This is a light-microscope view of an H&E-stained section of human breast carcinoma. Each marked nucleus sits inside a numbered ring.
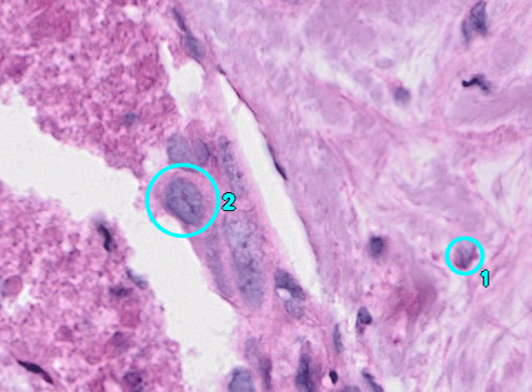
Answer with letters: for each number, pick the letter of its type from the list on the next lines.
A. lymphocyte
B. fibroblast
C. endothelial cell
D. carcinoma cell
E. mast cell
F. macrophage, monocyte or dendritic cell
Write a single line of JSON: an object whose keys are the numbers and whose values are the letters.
{"1": "B", "2": "D"}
